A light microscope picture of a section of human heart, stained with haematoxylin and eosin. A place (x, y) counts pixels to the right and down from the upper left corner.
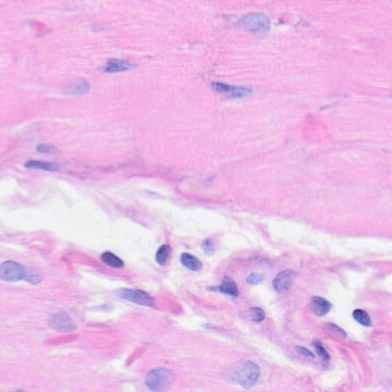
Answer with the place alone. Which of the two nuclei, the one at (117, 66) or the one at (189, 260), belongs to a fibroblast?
(189, 260)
